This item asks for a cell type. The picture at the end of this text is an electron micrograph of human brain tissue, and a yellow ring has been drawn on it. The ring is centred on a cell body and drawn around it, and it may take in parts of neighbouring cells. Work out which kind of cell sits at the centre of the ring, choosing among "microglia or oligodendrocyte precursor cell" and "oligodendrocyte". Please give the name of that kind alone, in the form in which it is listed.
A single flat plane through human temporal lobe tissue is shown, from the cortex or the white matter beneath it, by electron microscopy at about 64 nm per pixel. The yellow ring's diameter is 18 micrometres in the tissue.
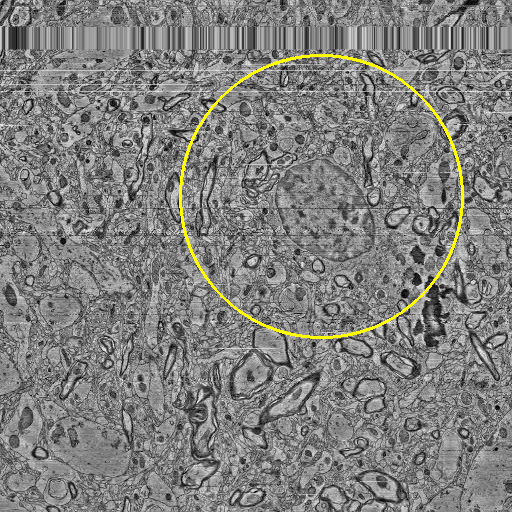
oligodendrocyte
